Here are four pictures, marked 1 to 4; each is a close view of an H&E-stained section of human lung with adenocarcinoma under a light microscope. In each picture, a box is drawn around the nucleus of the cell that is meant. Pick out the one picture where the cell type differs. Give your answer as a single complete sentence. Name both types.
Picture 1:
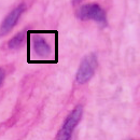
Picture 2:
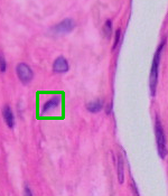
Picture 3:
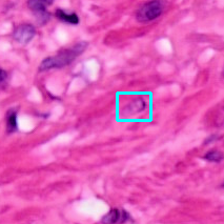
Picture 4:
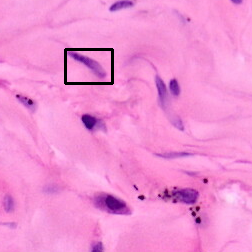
Picture 4 differs, because its cell is a fibroblast and the rest are “smooth muscle cells or pericytes”.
